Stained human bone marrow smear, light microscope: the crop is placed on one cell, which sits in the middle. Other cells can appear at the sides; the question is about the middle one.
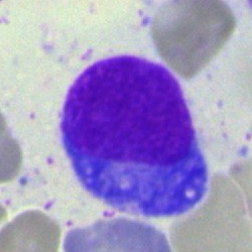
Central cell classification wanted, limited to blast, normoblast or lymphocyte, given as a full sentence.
The cell centred in this crop is categorized as a blast.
